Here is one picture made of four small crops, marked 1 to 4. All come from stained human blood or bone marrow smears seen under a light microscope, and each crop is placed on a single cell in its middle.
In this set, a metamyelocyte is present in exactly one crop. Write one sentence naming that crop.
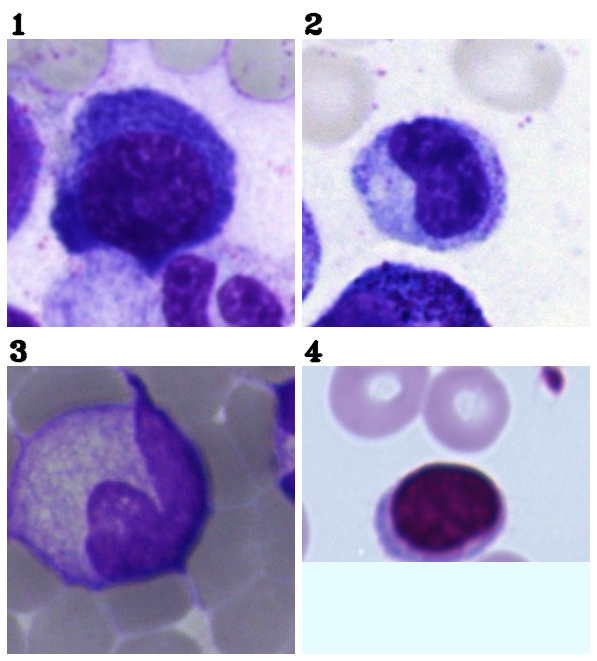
Crop 2 is the crop in which a metamyelocyte is shown.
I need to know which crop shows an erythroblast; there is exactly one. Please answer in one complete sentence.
Crop 1 is the one in this set that shows an erythroblast.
